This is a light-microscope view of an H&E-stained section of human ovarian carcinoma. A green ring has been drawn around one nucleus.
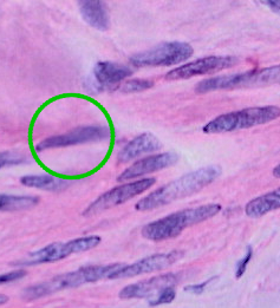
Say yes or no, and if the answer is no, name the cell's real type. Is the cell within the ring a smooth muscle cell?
Yes.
